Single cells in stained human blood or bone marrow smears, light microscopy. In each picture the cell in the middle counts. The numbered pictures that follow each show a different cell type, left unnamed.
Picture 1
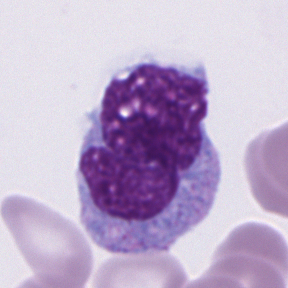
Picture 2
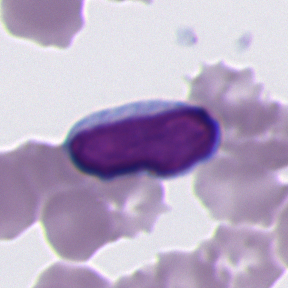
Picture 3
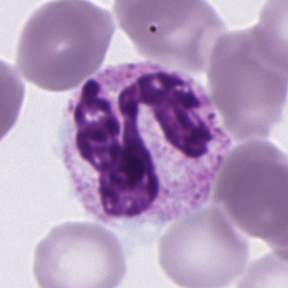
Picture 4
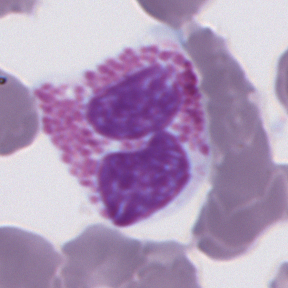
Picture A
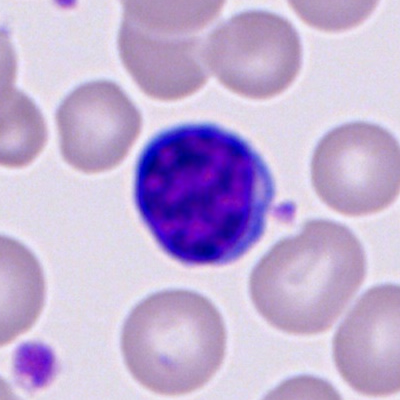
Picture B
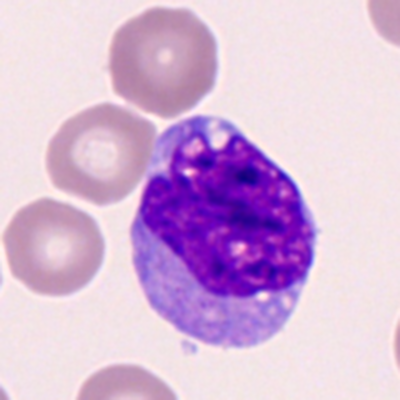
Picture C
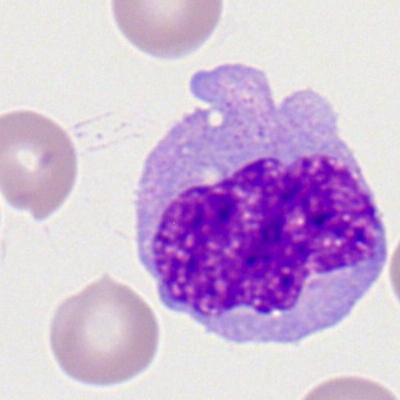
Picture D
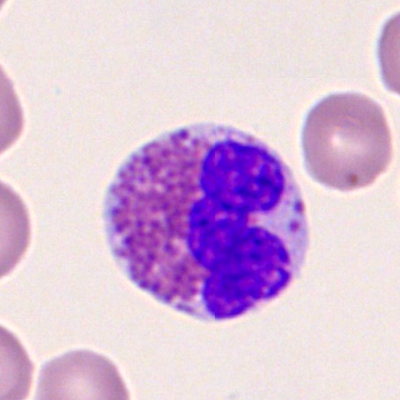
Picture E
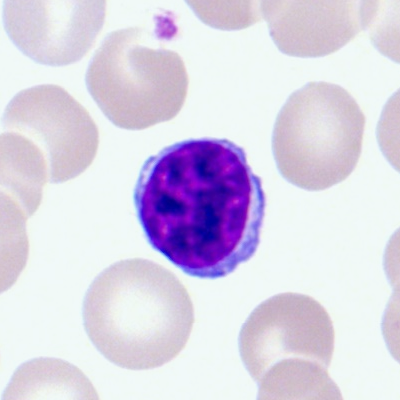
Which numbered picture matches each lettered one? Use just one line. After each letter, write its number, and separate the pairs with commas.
A 2, B 1, C 1, D 4, E 2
